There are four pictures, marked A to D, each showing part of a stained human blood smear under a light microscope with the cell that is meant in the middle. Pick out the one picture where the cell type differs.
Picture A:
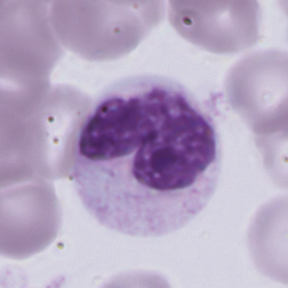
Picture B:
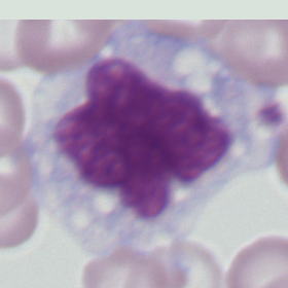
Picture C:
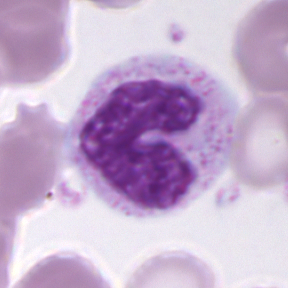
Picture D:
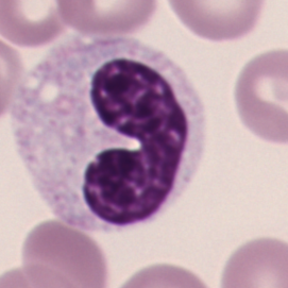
B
